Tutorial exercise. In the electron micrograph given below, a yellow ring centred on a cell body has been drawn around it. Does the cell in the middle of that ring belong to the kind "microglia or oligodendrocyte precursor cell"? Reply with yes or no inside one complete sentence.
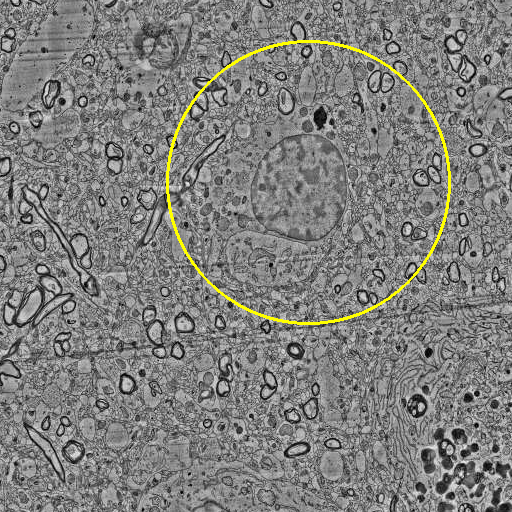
No, the cell at the centre of the ring in the picture is of a different kind.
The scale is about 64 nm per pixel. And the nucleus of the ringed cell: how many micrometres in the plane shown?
In this plane, the nucleus measures approximately 7 micrometres across.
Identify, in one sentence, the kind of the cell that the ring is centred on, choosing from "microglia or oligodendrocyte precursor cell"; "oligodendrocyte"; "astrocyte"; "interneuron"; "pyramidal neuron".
The ring's central cell is an oligodendrocyte instead.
